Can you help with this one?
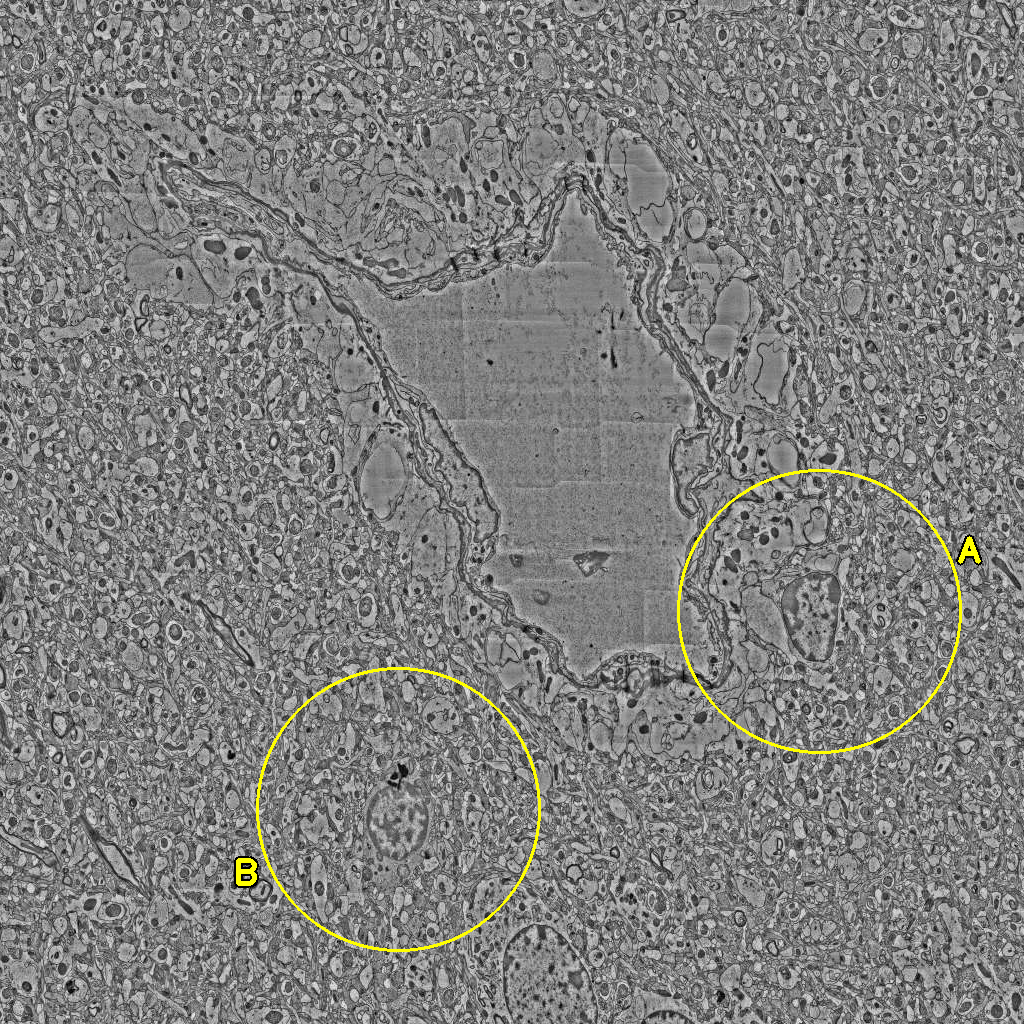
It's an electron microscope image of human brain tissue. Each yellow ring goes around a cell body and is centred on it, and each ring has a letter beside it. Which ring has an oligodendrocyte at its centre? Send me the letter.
B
